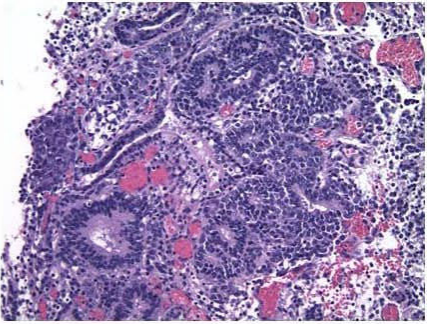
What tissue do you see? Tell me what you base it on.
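Neuroectoderm. Clusters of dark, crowded nuclei forming rosette-like rings around small lumens. Many red blood-filled spaces between the cell clusters.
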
